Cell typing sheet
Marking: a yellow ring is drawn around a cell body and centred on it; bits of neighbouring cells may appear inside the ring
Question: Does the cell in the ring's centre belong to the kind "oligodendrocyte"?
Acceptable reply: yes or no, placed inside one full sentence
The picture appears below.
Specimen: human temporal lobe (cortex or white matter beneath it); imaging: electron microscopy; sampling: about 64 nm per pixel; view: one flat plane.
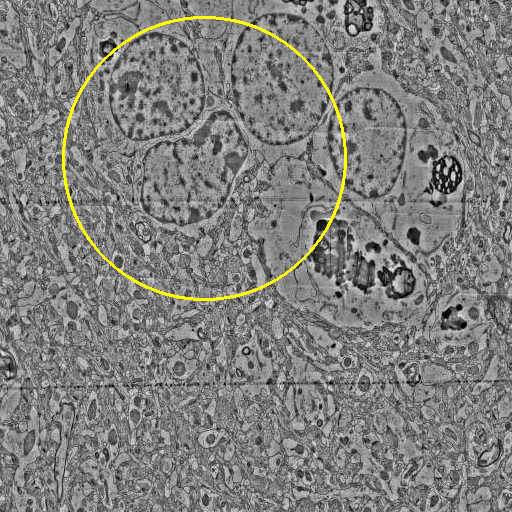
No, the cell at the centre of the ring belongs to a different kind.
